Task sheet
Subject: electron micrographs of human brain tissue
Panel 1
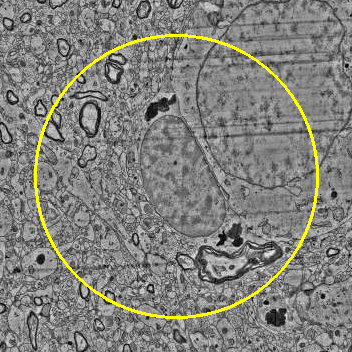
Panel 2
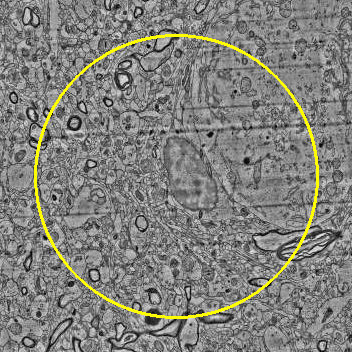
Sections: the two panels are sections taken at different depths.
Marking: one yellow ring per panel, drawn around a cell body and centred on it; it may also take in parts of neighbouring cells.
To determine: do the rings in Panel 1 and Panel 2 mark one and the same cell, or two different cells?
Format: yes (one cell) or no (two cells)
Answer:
yes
